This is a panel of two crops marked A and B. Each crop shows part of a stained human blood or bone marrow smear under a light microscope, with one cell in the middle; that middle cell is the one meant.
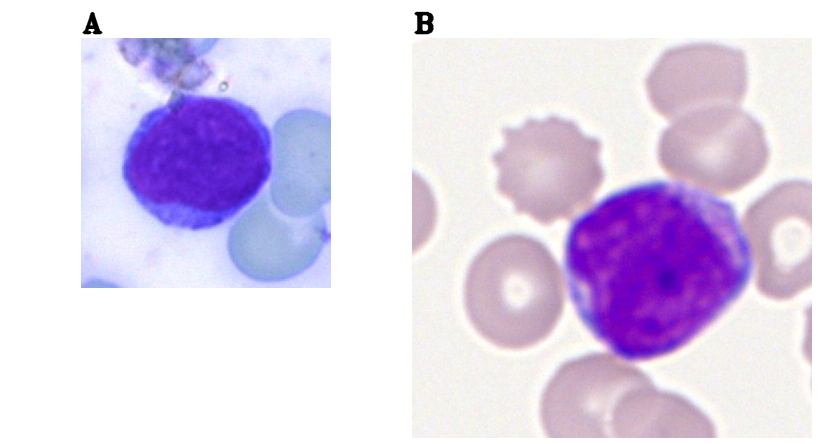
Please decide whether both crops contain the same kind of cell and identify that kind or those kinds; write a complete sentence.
No, crop A captures a lymphocyte, and crop B captures a blast.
